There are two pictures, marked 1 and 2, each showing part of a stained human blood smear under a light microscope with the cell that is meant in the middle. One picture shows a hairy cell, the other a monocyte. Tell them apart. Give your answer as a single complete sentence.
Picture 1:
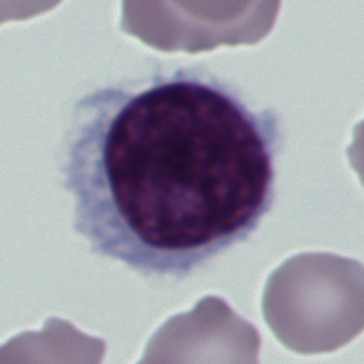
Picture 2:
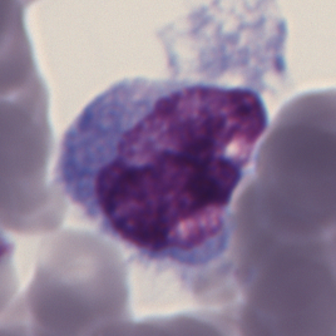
It is picture 1 that shows a hairy cell, and picture 2 that shows a monocyte.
